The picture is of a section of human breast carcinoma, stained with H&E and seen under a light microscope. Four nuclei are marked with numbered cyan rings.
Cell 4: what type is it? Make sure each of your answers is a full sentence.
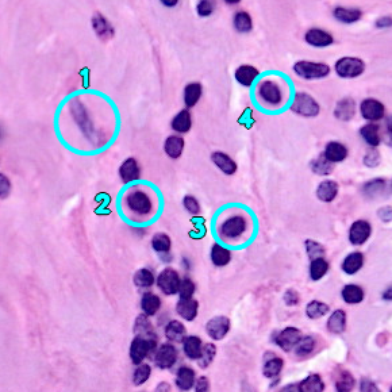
The cell numbered 4 has been identified as a lymphocyte.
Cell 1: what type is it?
Here the cell numbered 1 is a fibroblast.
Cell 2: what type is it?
The marked cell with the number 2 is recognised as a lymphocyte.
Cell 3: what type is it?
The cell carrying label 3 is identified as a lymphocyte.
